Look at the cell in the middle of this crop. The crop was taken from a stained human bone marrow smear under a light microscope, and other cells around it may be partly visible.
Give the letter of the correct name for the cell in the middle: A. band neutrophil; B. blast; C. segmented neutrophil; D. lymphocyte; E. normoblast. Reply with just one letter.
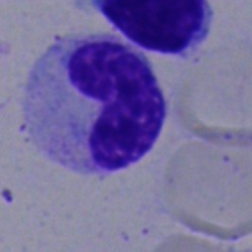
A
